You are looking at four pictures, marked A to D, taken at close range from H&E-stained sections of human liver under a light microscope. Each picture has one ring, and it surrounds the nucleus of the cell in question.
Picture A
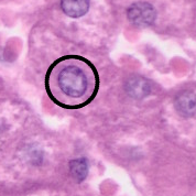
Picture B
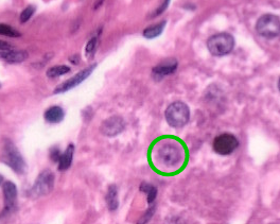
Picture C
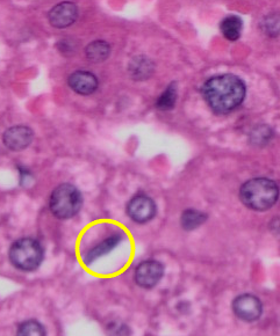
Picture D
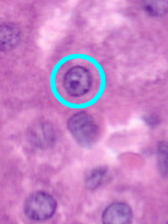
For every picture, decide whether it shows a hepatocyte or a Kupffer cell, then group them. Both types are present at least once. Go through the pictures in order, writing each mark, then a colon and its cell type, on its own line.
A: hepatocyte
B: hepatocyte
C: Kupffer cell
D: hepatocyte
